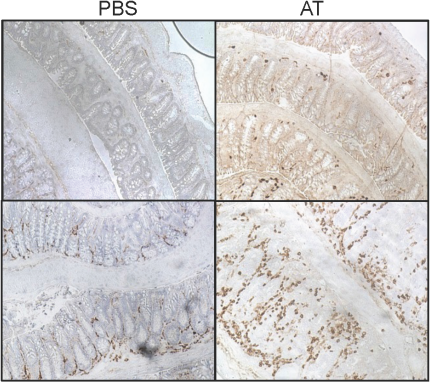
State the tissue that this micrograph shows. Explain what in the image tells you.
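Colonic mucosa. Rows of straight, unbranched tubular glands (crypts) lie side by side. No villi are present. A thin muscular layer lies beneath the crypts.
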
